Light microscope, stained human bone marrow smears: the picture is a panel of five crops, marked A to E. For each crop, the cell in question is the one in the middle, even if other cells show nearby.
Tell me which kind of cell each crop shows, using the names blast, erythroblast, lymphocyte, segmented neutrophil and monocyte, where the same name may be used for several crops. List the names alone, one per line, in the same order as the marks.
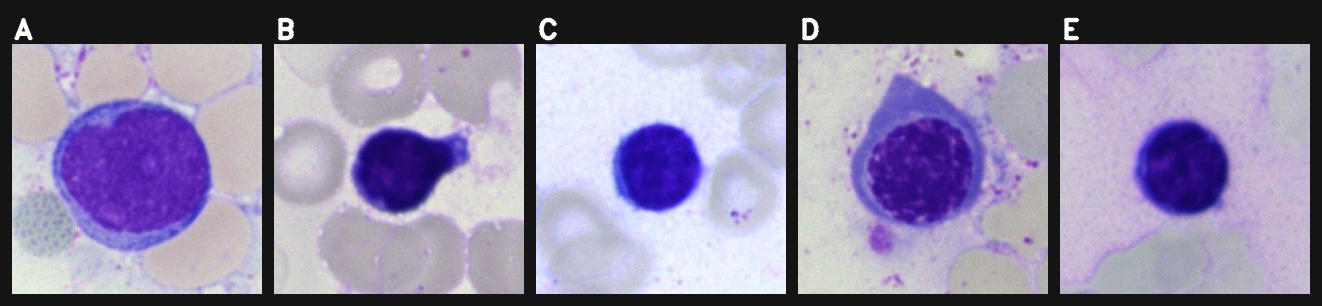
blast
lymphocyte
lymphocyte
erythroblast
lymphocyte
